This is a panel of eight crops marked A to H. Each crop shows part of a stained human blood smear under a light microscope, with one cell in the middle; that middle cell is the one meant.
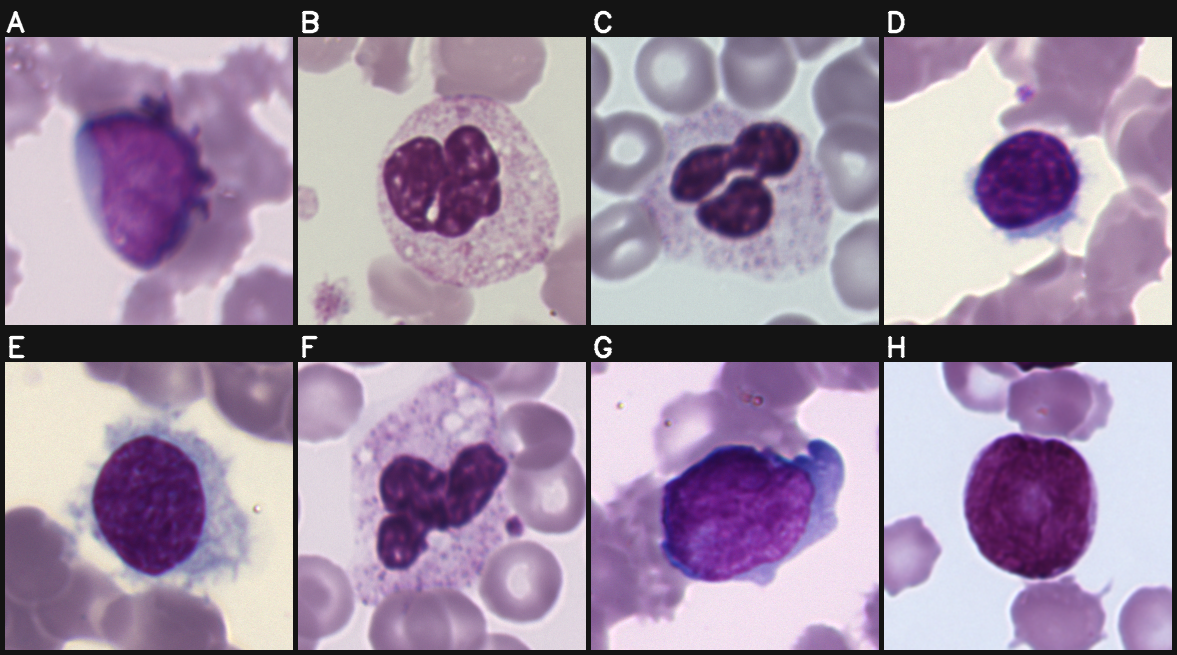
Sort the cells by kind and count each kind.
myeloblast: 3
segmented neutrophil: 3
hairy cell: 2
